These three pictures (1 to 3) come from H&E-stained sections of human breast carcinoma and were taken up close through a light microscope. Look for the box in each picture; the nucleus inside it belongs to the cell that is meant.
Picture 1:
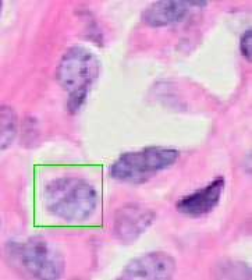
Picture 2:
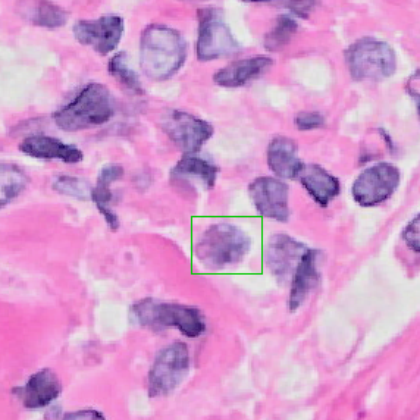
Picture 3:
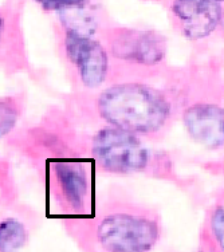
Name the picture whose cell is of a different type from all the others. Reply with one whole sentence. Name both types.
The others show carcinoma cells, but picture 3 shows an endothelial cell.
